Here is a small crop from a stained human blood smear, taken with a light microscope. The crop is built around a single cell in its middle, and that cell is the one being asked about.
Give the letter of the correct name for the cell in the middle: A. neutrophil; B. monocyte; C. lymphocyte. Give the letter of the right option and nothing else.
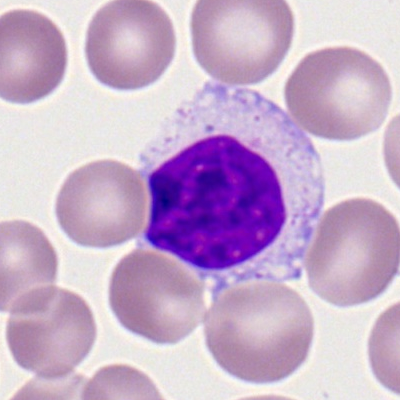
C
